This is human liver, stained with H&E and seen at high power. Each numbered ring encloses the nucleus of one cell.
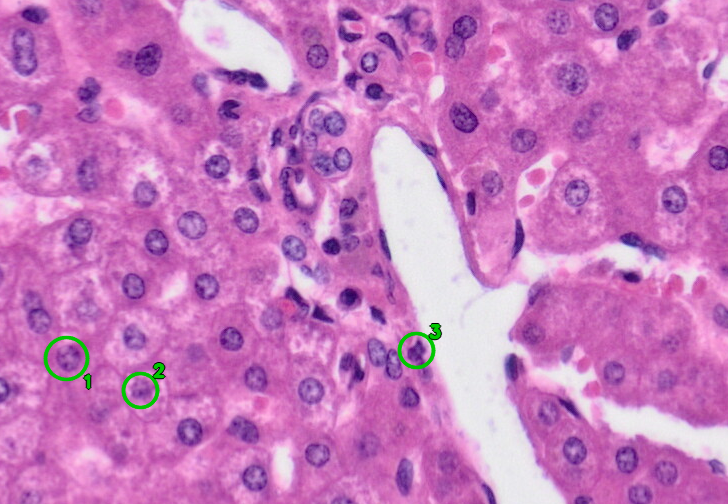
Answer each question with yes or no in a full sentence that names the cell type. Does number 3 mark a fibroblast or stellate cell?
Yes, so the cell at label 3 is a fibroblast or stellate cell.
